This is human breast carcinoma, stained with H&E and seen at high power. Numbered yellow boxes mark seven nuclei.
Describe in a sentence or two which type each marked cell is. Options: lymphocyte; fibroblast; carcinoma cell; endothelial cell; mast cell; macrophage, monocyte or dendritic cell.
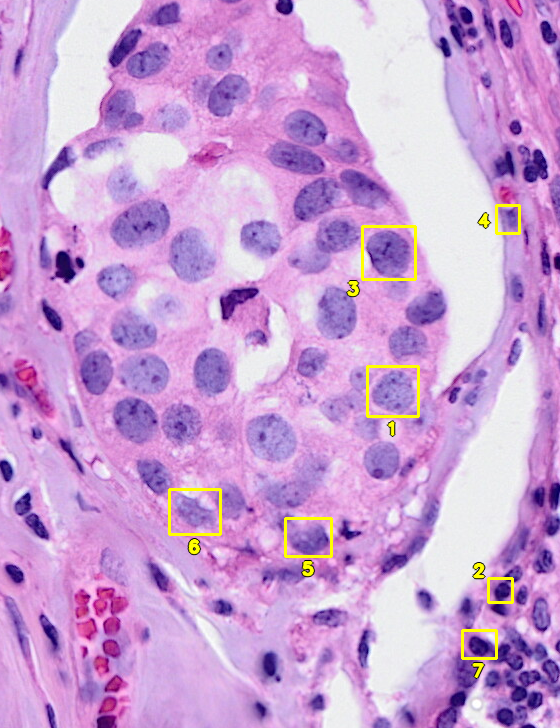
Cells 1, 3, 5 and 6 are carcinoma cells. Cells 2 and 7 are lymphocytes. Cell 4 is an endothelial cell.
